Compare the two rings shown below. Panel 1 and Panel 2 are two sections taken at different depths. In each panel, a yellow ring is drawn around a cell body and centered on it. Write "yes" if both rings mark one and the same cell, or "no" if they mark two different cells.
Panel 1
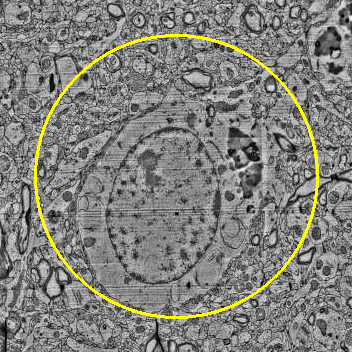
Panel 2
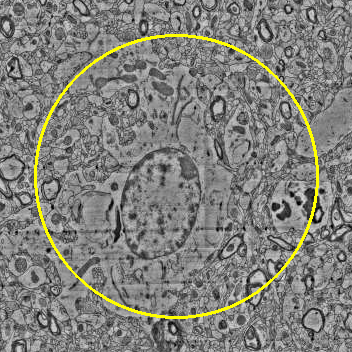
yes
